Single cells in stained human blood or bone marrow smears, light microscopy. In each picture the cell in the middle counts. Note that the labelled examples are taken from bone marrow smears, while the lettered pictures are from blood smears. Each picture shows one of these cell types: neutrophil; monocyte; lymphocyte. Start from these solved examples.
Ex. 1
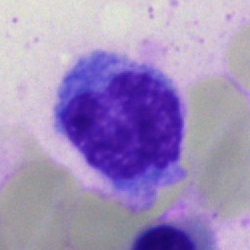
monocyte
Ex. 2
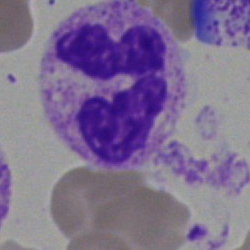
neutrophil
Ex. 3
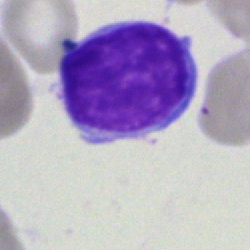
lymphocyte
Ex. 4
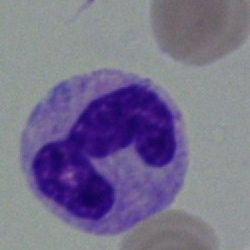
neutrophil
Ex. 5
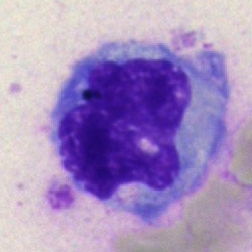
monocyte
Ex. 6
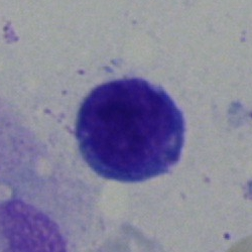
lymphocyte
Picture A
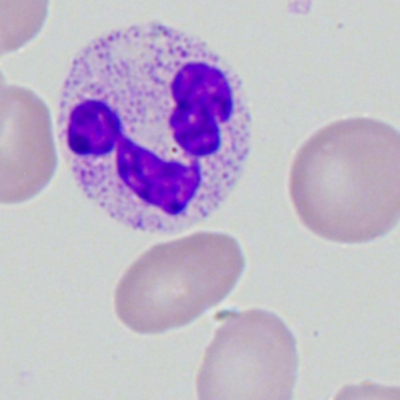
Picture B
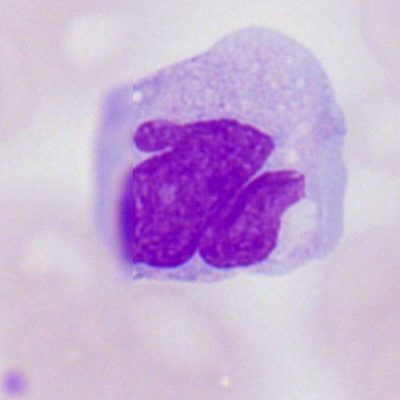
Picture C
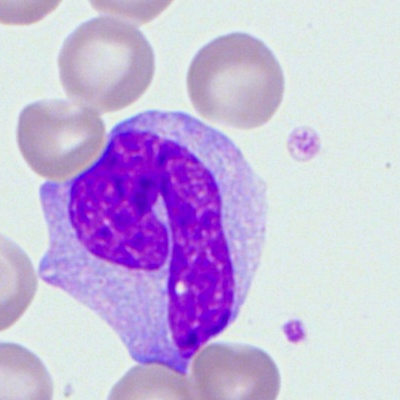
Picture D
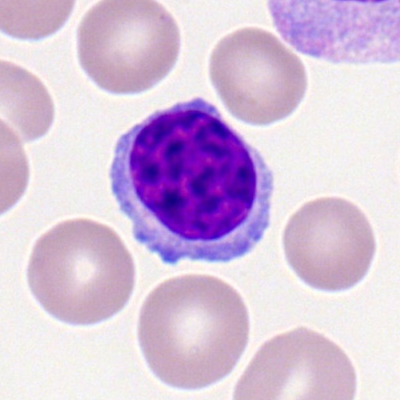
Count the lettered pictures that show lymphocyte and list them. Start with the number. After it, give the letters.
Count: 1 (D)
